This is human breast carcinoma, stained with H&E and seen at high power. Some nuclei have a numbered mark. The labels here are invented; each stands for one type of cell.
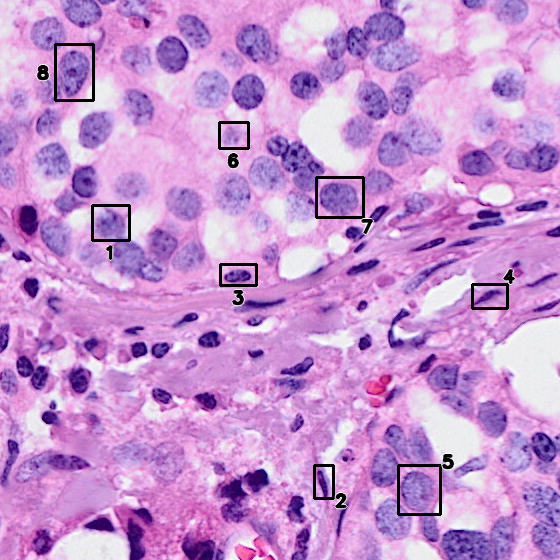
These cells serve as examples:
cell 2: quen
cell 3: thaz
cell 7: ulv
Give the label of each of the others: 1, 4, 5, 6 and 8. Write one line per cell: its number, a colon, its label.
1: ulv
4: quen
5: ulv
6: ulv
8: ulv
